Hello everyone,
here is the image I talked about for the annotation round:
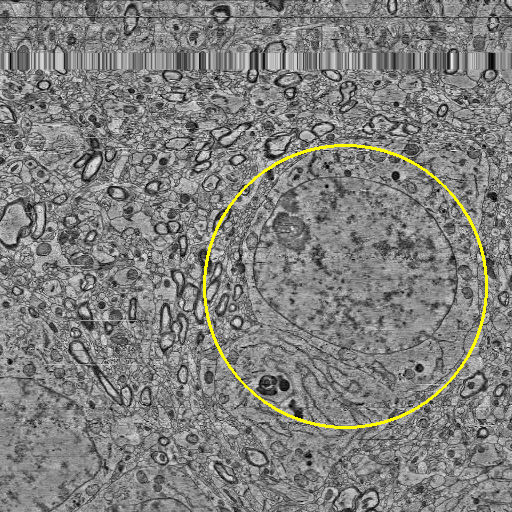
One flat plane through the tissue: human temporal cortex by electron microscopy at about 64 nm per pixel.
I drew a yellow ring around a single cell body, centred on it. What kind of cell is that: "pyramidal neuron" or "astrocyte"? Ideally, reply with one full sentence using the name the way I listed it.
The cell your yellow ring is centred on is a pyramidal neuron, going by your list.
